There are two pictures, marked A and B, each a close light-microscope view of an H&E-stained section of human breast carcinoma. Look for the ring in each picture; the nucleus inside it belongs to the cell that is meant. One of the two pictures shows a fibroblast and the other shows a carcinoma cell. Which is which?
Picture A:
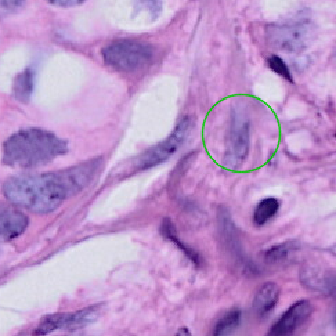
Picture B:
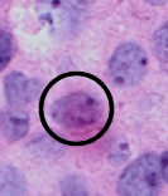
A: fibroblast
B: carcinoma cell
